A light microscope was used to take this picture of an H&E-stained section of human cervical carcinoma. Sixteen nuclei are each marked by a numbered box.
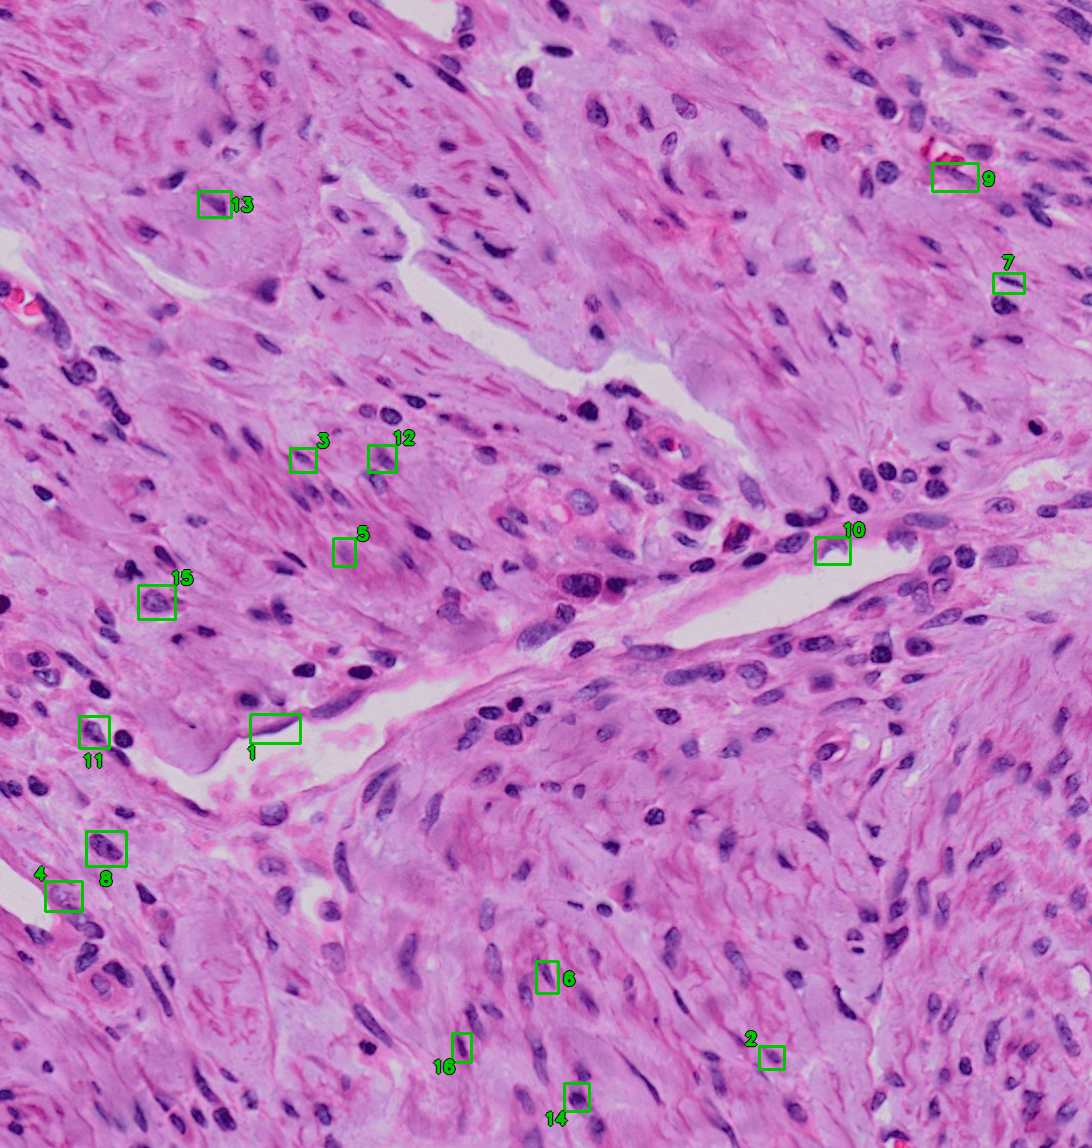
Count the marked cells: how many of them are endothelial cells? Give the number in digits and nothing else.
5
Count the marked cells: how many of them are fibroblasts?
2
